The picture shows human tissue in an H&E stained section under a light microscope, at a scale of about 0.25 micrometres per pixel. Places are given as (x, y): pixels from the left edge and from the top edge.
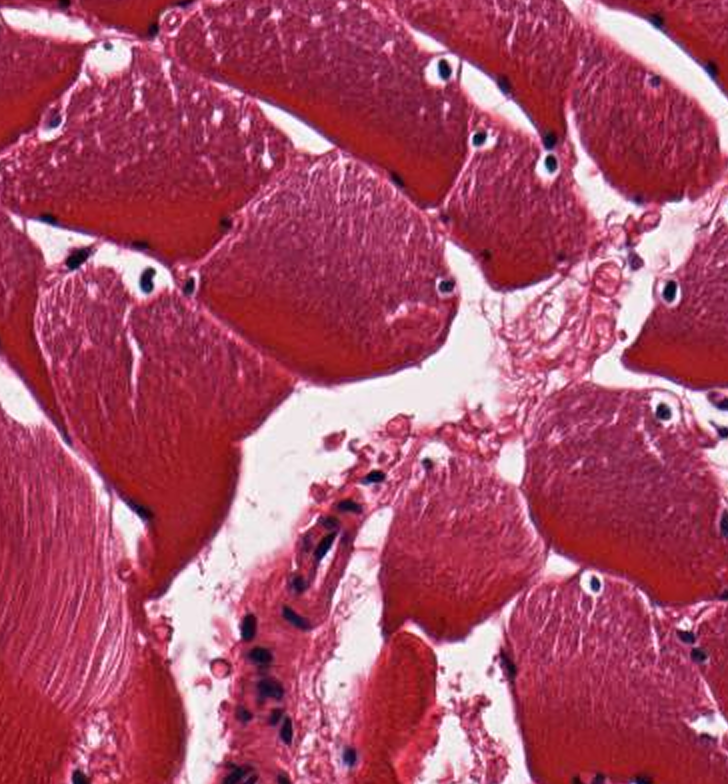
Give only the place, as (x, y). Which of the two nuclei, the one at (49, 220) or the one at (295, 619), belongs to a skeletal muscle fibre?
(49, 220)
